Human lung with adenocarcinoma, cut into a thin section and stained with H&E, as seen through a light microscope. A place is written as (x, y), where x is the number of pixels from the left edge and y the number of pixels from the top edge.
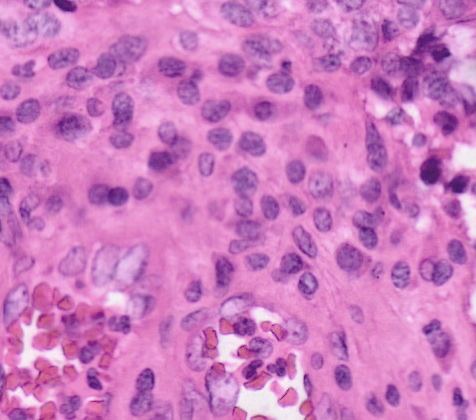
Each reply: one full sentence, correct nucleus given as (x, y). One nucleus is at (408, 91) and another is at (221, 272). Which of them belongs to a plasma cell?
Here the nucleus at (221, 272) is the one that belongs to a plasma cell.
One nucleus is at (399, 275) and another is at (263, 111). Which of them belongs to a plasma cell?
The one nucleus of the two that belongs to a plasma cell is at (263, 111).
